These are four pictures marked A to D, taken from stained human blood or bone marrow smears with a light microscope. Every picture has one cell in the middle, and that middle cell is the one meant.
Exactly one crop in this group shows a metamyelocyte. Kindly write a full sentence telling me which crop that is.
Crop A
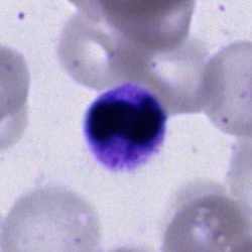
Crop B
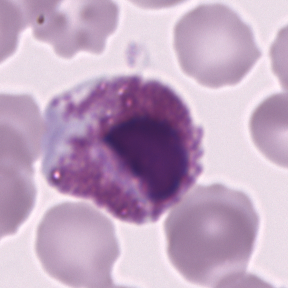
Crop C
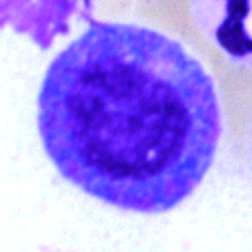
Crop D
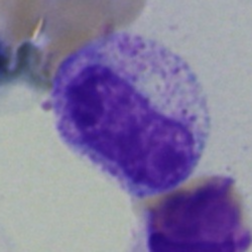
The crop showing a metamyelocyte in this series is crop D.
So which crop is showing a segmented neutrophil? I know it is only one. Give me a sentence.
The one that shows a segmented neutrophil is crop A.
